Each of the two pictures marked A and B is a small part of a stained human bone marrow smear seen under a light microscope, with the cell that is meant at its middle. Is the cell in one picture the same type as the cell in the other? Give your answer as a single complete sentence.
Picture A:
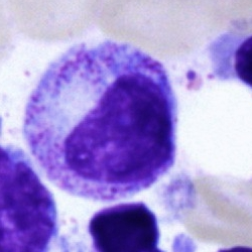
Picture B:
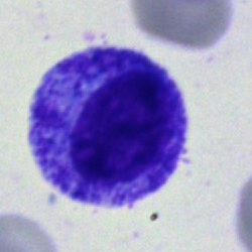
Yes, they are the same type: both are myelocytes.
